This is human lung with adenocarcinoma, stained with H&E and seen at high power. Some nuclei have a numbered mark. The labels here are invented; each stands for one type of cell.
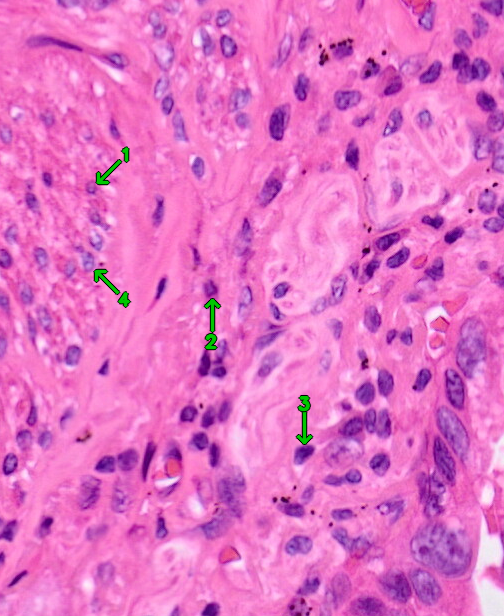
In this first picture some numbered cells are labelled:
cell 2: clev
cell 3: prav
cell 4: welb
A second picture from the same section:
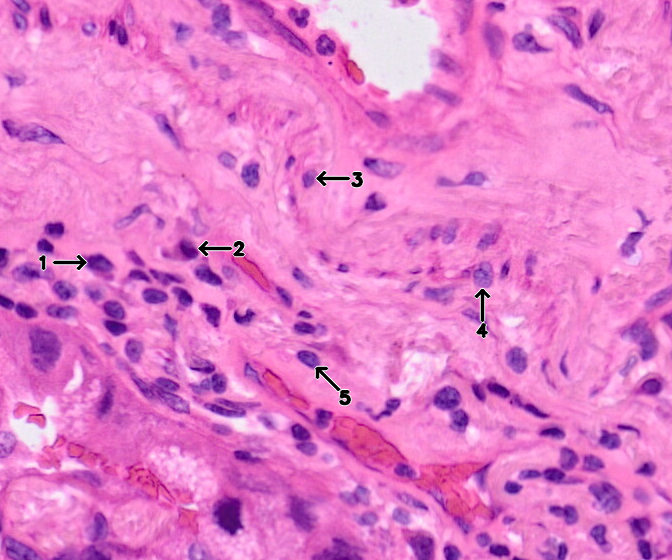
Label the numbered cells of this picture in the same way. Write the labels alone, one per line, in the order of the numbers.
clev
clev
welb
welb
prav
